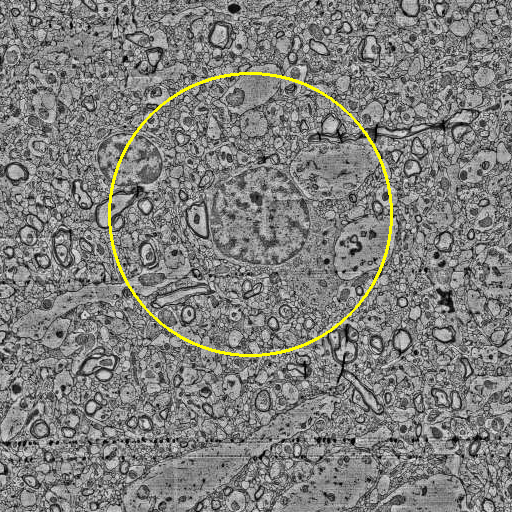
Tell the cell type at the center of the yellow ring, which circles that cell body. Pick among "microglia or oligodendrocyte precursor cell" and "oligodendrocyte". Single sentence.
The ring is centered on the body of an oligodendrocyte.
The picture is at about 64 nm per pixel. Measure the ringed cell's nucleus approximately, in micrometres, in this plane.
The nucleus is about 6 micrometres across in this plane.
